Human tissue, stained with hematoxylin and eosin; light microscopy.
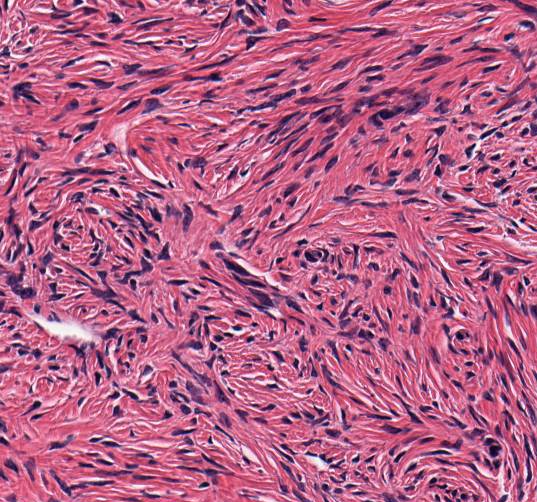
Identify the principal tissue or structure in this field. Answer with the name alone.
ovarian cortex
